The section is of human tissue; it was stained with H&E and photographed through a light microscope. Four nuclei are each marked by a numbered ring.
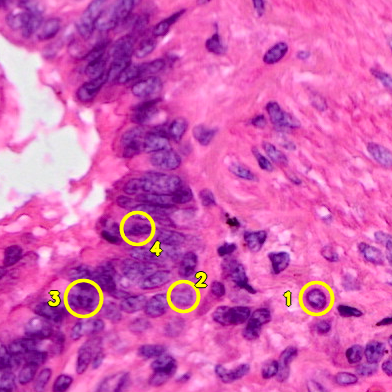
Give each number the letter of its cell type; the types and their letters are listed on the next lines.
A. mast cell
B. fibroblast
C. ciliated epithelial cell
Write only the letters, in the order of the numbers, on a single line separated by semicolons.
A; C; C; C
